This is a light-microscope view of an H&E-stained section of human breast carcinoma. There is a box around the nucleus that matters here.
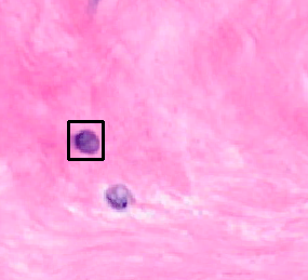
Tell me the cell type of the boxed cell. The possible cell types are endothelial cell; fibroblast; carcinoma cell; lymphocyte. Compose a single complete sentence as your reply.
In the stained section, the boxed cell is a lymphocyte.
